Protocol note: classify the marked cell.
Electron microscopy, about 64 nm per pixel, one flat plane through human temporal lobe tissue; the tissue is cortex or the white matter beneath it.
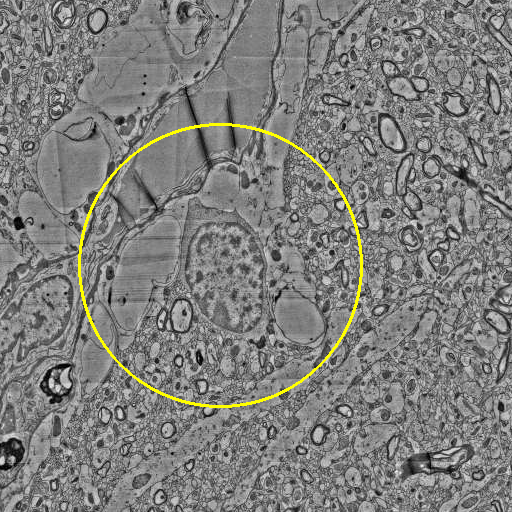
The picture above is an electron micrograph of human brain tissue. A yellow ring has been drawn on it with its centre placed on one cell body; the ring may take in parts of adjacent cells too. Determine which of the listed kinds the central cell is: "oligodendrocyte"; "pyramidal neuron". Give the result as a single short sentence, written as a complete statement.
The central cell is an oligodendrocyte.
